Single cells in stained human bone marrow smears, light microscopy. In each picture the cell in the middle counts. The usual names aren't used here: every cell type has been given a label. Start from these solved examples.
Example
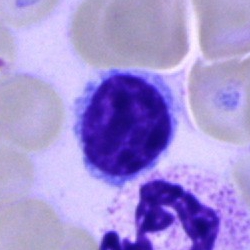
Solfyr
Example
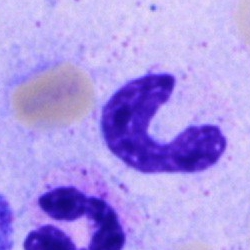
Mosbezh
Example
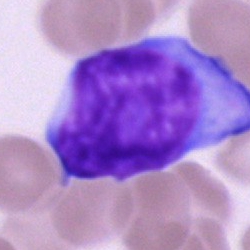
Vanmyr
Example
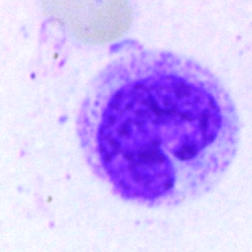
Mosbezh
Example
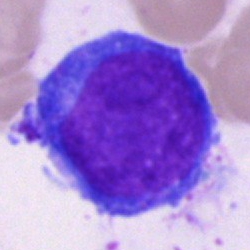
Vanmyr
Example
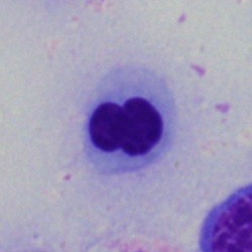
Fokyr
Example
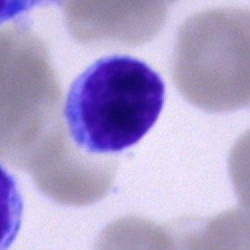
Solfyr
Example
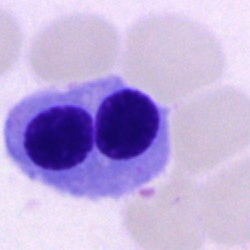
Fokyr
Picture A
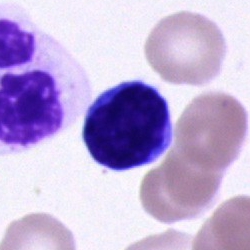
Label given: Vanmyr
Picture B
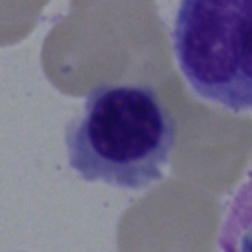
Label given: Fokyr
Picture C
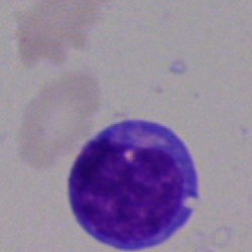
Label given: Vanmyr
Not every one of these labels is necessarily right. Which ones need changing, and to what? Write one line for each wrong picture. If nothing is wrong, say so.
A: change Vanmyr to Solfyr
